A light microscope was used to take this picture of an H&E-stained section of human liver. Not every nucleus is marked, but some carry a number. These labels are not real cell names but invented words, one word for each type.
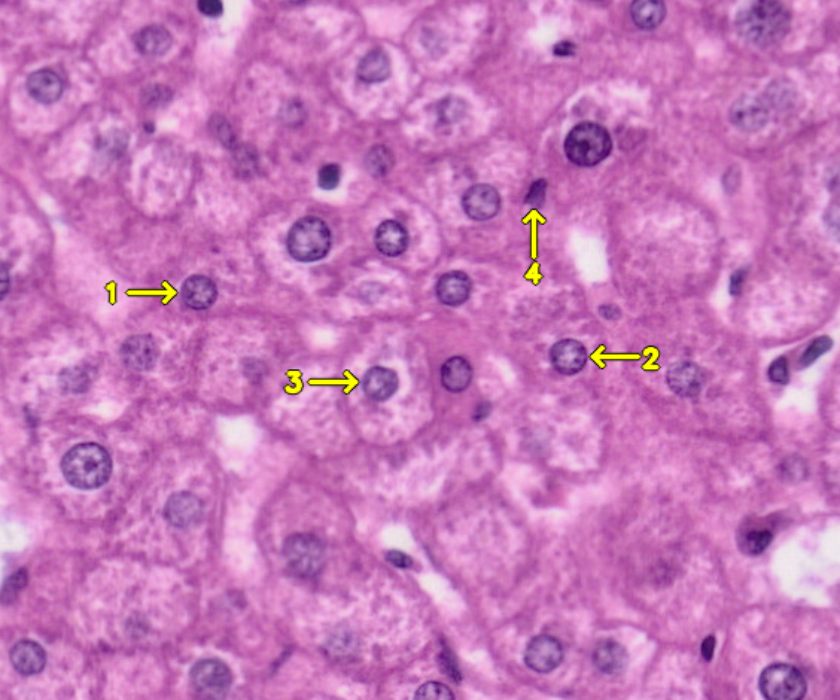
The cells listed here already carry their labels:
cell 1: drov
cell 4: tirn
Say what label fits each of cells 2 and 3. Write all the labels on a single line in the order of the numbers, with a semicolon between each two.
drov; drov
